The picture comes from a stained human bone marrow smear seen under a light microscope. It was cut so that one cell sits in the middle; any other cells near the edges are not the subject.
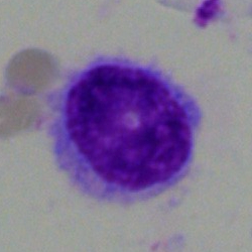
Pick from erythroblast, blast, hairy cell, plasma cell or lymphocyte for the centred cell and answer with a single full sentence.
Positioned in the middle of the crop is a hairy cell.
